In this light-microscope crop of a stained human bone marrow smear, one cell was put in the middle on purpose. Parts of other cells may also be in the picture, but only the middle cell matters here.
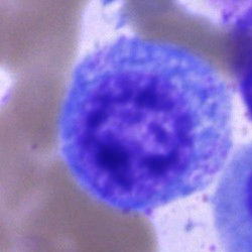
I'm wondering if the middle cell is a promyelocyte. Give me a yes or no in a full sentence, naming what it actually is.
Yes, the cell right in the middle is a promyelocyte.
